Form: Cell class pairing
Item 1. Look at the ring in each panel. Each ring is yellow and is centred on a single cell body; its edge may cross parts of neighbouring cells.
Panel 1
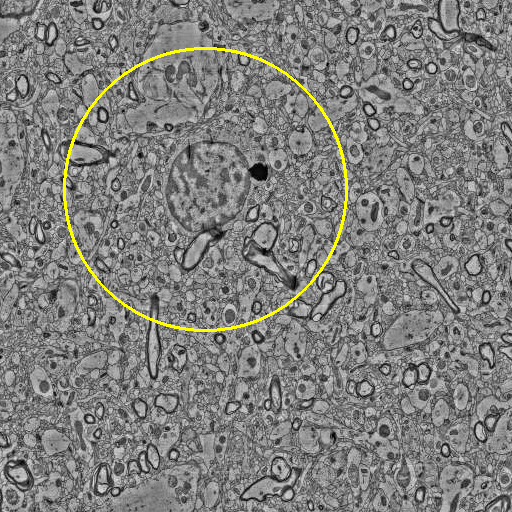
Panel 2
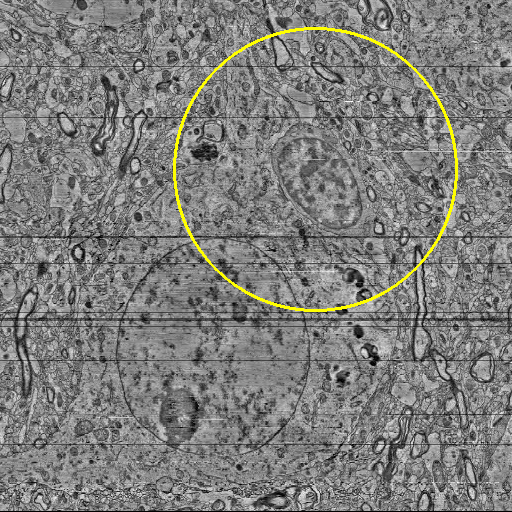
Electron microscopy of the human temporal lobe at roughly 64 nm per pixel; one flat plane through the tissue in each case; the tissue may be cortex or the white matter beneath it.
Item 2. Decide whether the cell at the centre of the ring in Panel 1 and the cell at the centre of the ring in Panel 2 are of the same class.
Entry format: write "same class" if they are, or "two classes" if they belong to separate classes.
same class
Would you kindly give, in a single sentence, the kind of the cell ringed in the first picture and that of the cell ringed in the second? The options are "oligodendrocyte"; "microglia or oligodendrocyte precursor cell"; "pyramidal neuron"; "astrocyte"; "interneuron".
In both pictures the ring is centred on an oligodendrocyte.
